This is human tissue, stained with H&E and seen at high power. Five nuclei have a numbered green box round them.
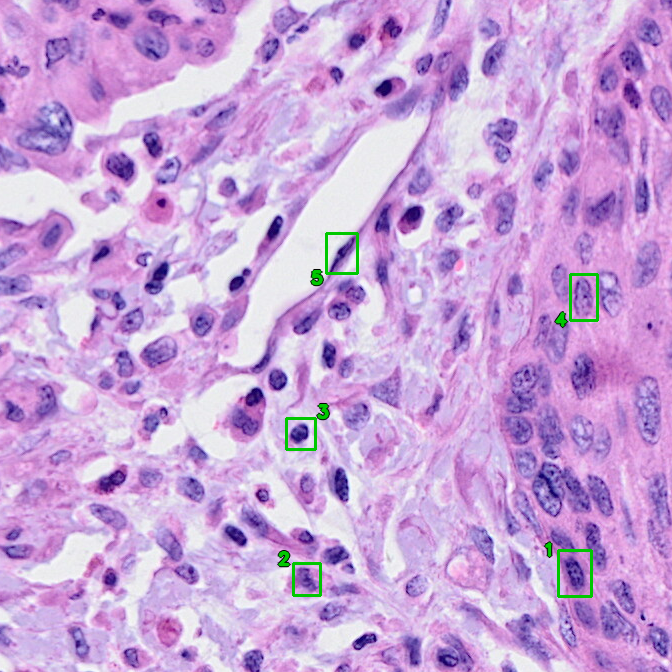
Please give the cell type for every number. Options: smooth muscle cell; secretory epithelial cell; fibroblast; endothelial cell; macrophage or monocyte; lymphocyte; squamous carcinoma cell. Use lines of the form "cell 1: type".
cell 1: squamous carcinoma cell
cell 2: macrophage or monocyte
cell 3: lymphocyte
cell 4: squamous carcinoma cell
cell 5: endothelial cell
